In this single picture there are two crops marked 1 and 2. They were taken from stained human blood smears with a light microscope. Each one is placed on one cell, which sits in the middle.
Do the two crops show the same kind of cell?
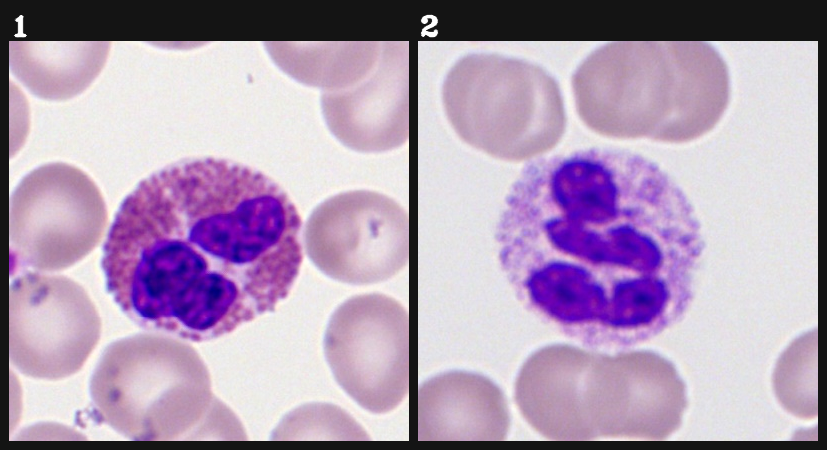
no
